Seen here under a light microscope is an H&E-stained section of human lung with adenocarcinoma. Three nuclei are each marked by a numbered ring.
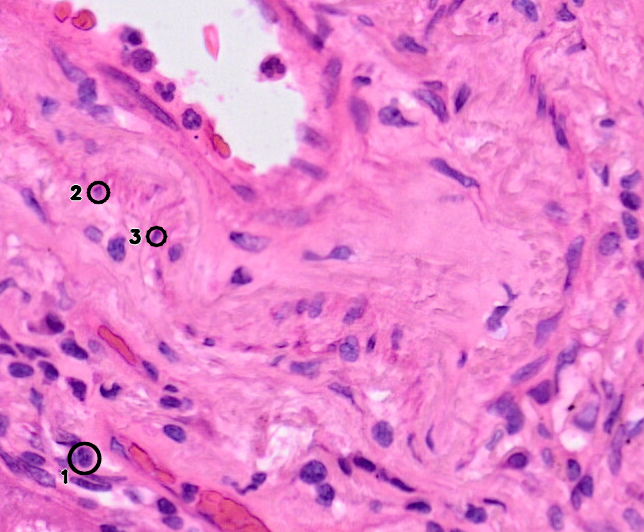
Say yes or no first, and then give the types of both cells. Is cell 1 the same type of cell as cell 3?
No, cell 1 is a lymphocyte, and cell 3, in contrast, is a smooth muscle cell or pericyte.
